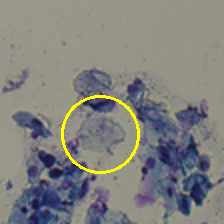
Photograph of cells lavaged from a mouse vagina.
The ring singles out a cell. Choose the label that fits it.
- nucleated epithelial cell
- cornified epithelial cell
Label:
cornified epithelial cell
